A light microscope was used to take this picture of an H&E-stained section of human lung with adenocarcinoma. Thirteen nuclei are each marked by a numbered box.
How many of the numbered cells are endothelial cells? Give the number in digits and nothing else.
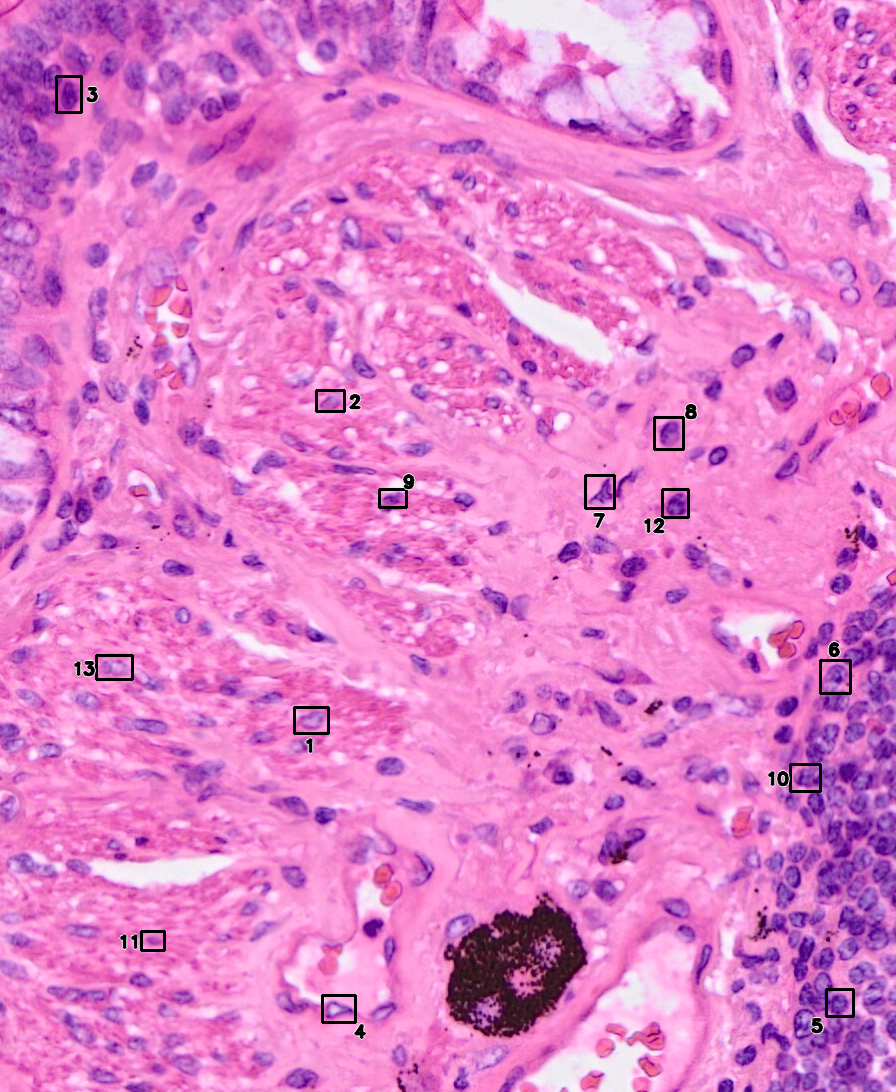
1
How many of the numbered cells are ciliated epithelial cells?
1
